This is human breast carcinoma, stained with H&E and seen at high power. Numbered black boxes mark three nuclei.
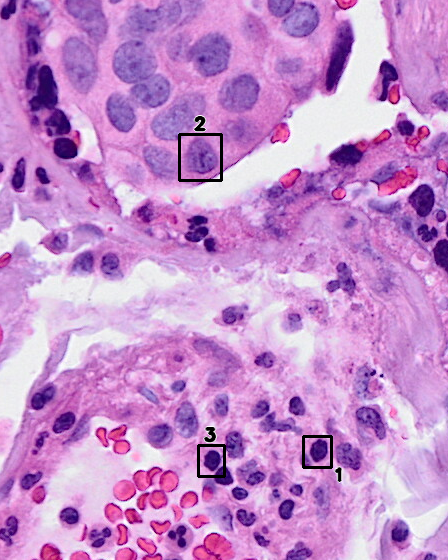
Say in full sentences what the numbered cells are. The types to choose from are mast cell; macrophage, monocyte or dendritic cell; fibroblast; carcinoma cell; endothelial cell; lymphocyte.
Cells 1 and 3 are lymphocytes. Cell 2 is a carcinoma cell.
